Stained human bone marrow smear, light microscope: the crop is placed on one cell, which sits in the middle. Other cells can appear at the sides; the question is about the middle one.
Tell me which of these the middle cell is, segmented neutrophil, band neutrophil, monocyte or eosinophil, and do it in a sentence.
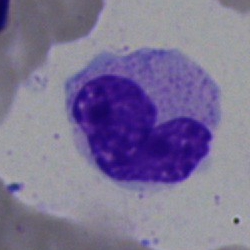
What sits at the centre of this crop is a band neutrophil.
